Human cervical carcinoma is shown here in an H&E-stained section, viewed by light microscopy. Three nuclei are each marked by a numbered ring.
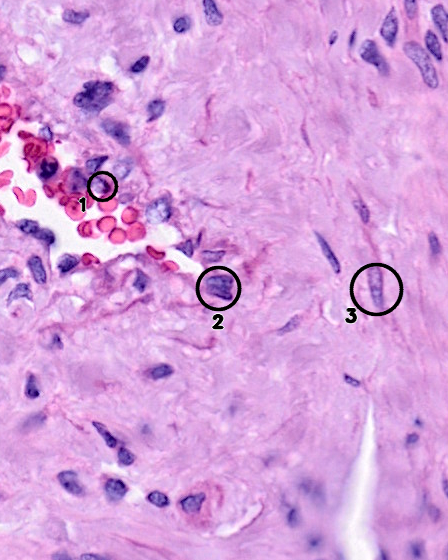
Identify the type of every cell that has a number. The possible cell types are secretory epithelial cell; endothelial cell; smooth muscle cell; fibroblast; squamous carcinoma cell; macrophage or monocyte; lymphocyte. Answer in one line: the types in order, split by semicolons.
endothelial cell; endothelial cell; smooth muscle cell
